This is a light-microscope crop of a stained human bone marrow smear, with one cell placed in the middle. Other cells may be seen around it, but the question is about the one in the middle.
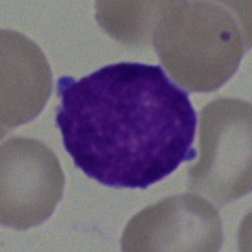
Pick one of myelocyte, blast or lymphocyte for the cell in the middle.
blast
